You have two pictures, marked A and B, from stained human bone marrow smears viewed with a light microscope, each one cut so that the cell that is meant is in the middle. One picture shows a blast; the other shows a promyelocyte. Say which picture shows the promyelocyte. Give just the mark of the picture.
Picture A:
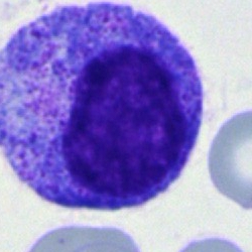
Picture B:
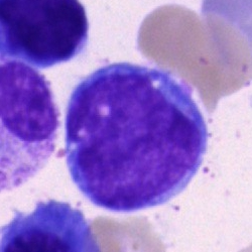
A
